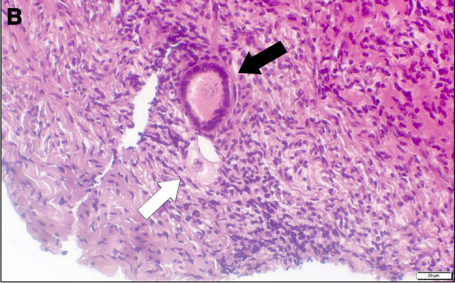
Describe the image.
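Ovarian cortex near its free edge, made of densely packed spindle-shaped stromal cells with dark elongated nuclei and pale pink fibrous matrix. A single follicle with a pale central oocyte is ringed by a layer of darker cuboidal cells. Just below it lies a smaller pale follicle with empty-looking spaces, unlike a healthy follicle. A narrow slit-like space lies nearby in the stroma.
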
